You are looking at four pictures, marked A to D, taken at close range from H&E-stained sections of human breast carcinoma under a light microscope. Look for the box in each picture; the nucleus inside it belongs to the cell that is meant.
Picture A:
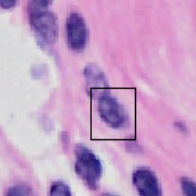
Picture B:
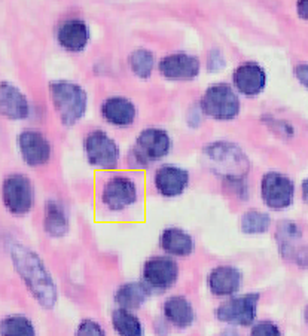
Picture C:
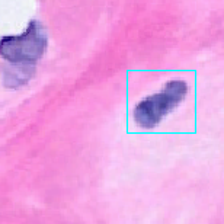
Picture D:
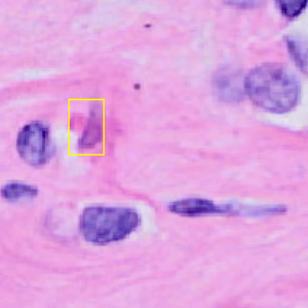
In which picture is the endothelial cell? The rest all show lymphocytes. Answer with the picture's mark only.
D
